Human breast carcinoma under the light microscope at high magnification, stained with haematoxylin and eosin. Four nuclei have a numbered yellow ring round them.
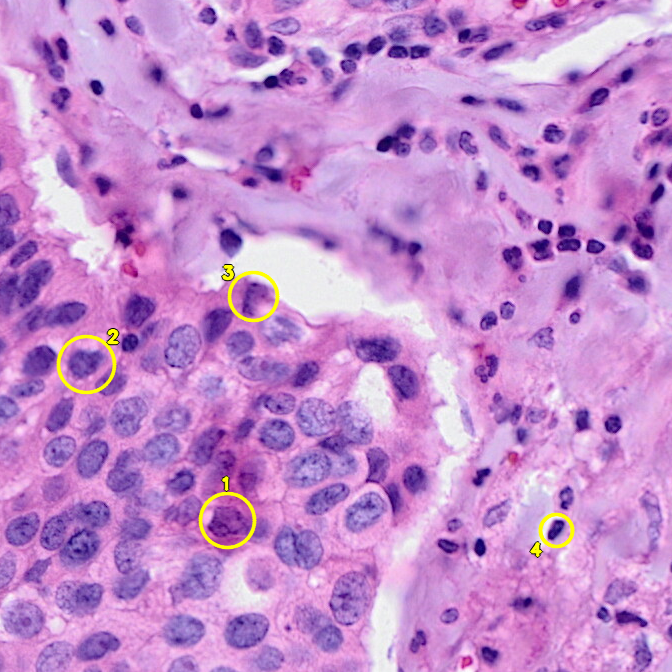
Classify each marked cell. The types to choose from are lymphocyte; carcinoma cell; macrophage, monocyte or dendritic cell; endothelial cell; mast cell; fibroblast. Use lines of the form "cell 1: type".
cell 1: carcinoma cell
cell 2: carcinoma cell
cell 3: carcinoma cell
cell 4: lymphocyte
